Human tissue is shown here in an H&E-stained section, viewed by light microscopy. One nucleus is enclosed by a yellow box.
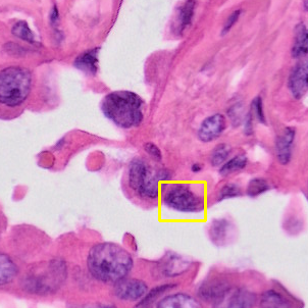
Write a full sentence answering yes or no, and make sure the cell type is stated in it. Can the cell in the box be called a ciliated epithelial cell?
No, the cell in the box represents a carcinoma cell and does not represent a ciliated epithelial cell.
